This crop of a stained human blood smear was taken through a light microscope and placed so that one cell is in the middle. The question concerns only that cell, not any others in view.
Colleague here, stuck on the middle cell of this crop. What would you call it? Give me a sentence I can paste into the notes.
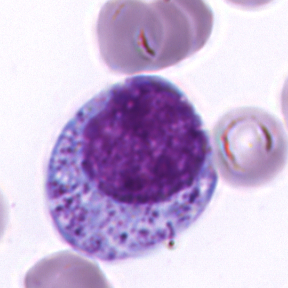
By type, the central cell of the crop is a myelocyte.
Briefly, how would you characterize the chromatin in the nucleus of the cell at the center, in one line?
Heads up, the chromatin is fine with no coarse clumps in it.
